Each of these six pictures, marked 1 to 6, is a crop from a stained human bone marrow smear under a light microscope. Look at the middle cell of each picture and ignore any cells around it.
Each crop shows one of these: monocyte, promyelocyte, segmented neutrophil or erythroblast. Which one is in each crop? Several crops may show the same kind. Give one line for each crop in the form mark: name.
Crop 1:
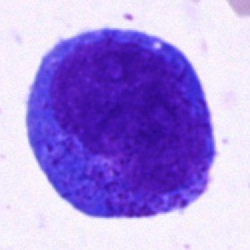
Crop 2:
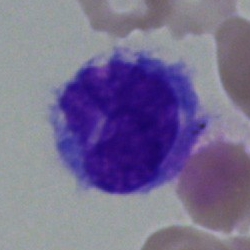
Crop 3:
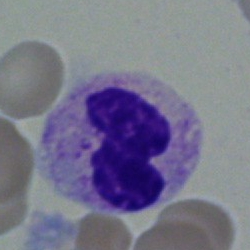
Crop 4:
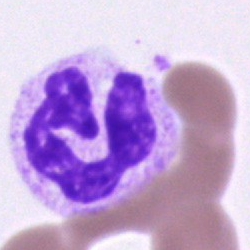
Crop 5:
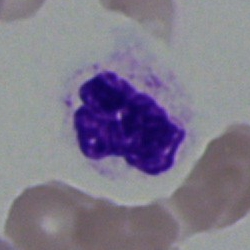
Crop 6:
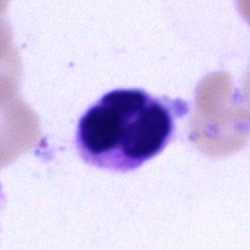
1: promyelocyte
2: monocyte
3: segmented neutrophil
4: segmented neutrophil
5: segmented neutrophil
6: segmented neutrophil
